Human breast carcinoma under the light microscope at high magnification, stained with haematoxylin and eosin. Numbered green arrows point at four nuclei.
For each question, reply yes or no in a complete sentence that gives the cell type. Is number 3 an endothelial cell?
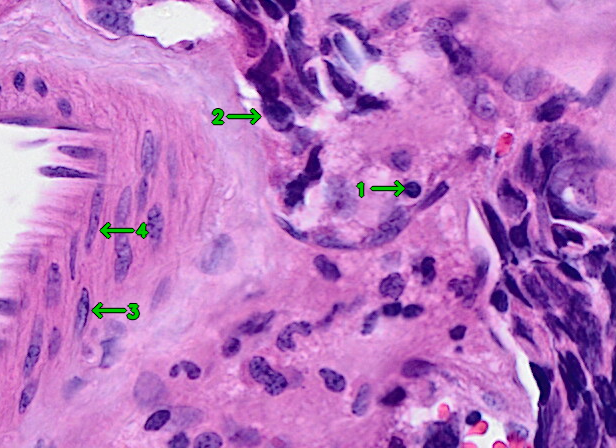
Yes, kindly take note: the cell numbered 3 is an endothelial cell.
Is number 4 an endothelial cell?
Yes, the cell that has number 4 is an endothelial cell.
